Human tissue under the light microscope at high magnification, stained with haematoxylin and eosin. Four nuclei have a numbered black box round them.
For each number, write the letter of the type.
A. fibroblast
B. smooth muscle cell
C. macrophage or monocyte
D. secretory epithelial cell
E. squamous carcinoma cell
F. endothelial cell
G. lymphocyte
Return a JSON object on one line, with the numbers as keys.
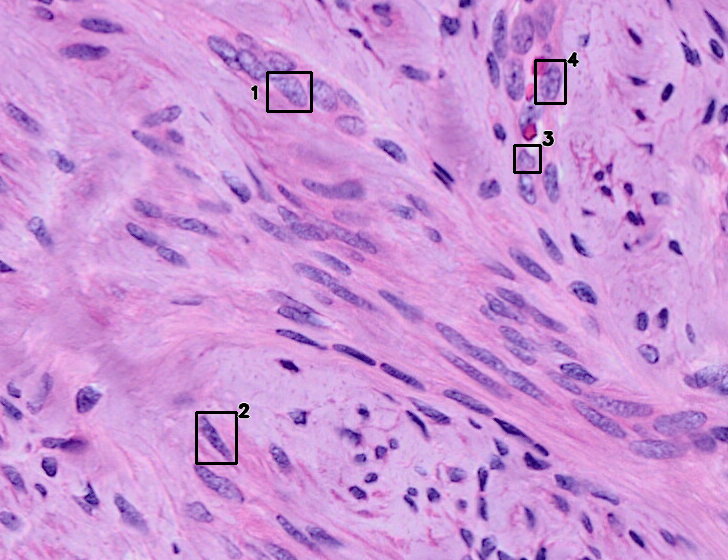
{"1": "F", "2": "B", "3": "F", "4": "F"}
